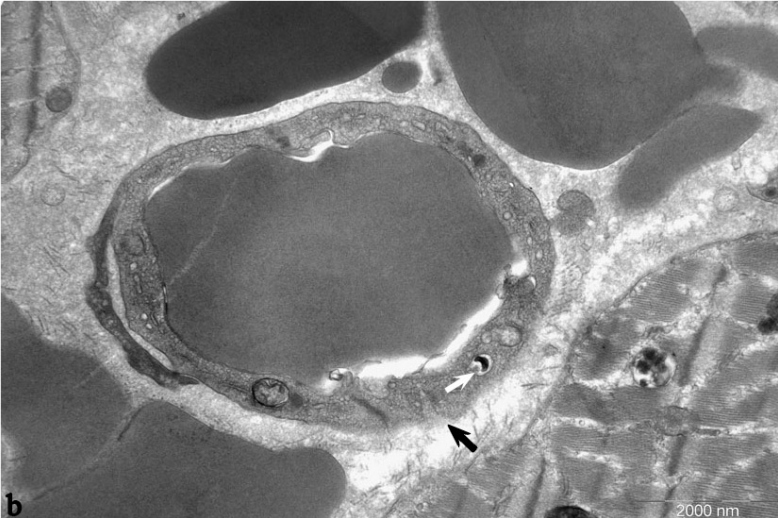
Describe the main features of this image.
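Capillary in cross section with a red blood cell filling the lumen, enclosed by a thin rim of vascular endothelial cell cytoplasm holding small vesicles and a dense round profile. Outside the endothelium the surrounding basement membrane zone is pale and loosened, with wispy fibrillar material. Striated muscle fibres and further red blood cells lie around it.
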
